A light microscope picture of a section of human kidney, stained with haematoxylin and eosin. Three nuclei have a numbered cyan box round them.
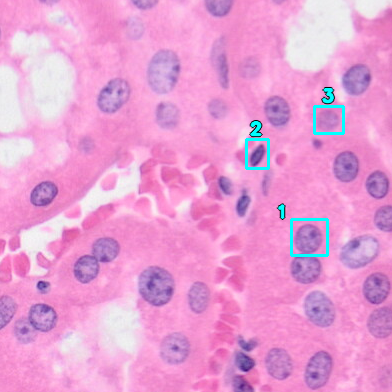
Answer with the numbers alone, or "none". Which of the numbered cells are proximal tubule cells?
1, 3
